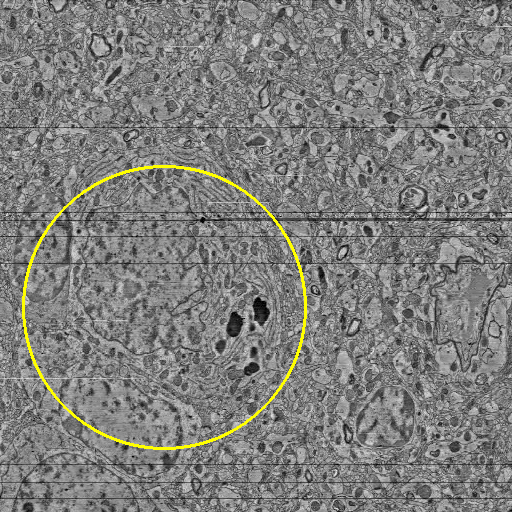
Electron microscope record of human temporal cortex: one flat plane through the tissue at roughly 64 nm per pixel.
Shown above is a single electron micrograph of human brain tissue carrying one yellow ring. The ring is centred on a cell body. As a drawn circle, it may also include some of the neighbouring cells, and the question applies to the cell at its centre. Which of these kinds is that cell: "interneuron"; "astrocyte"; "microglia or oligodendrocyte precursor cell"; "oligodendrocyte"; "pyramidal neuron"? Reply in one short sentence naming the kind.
The cell marked by the ring is an interneuron.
